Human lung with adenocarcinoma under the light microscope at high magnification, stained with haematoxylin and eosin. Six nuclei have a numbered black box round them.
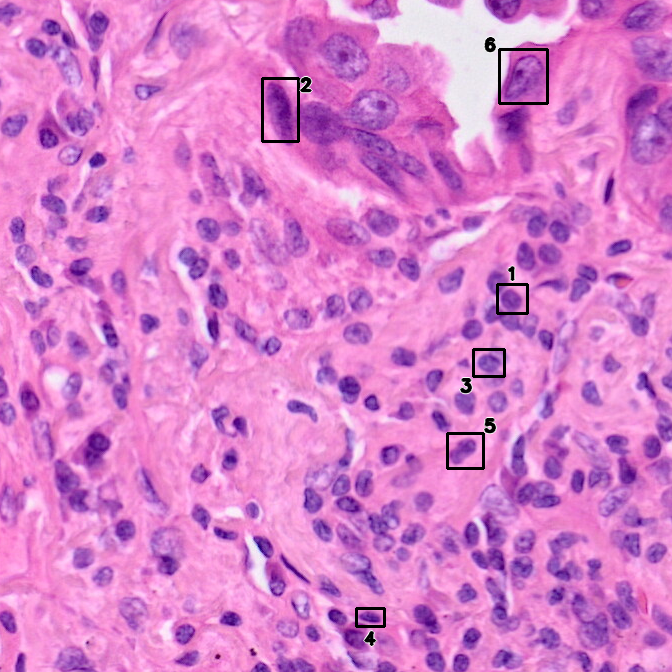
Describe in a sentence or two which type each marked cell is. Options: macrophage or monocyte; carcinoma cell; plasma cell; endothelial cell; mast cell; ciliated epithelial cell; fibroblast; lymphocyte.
Cell 1 is a lymphocyte, cell 2 is a carcinoma cell, cell 3 is a lymphocyte, cell 4 is a lymphocyte, cell 5 is a lymphocyte and cell 6 is a carcinoma cell.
